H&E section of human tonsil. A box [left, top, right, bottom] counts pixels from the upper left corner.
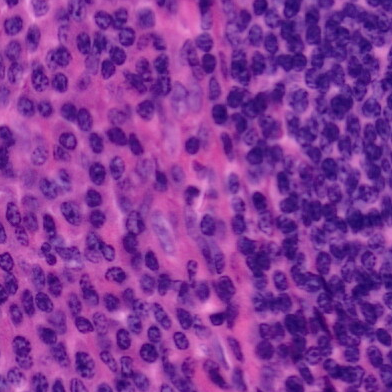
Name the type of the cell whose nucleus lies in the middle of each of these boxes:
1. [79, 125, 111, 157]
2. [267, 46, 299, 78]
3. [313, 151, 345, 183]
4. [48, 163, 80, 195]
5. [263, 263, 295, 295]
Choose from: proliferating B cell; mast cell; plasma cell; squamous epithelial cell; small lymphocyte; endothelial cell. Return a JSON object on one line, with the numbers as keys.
{"1": "plasma cell", "2": "small lymphocyte", "3": "small lymphocyte", "4": "plasma cell", "5": "small lymphocyte"}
